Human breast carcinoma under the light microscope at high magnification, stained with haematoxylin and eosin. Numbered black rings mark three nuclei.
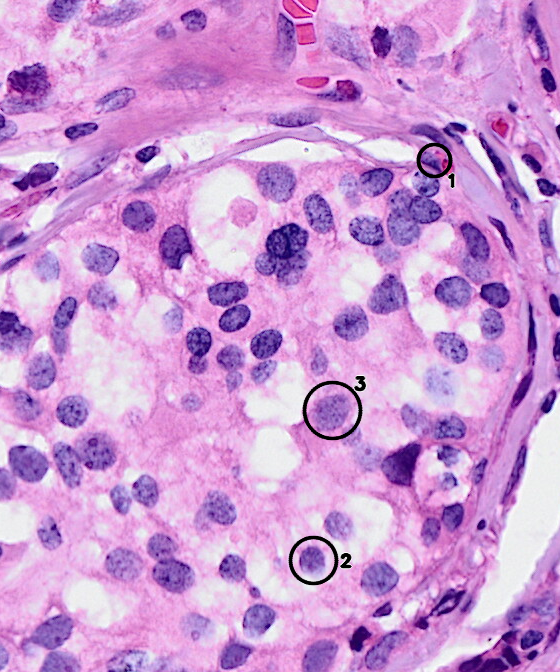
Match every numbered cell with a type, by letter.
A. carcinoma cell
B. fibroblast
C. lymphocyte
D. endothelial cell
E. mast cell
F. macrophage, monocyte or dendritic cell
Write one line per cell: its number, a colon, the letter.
1: D
2: A
3: A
